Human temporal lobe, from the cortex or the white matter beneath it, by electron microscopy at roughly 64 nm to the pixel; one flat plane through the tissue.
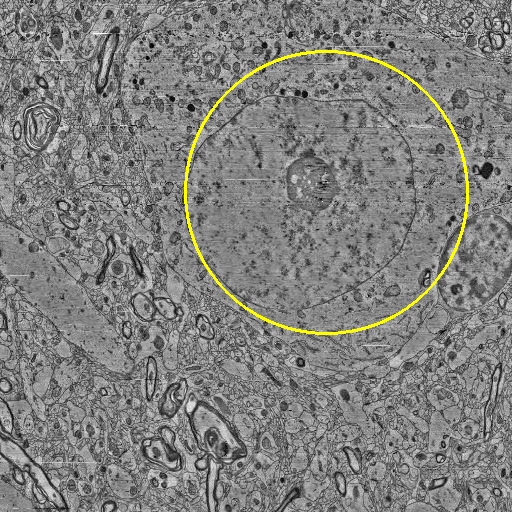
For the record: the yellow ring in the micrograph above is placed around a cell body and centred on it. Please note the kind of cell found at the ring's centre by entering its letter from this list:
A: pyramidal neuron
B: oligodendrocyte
A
